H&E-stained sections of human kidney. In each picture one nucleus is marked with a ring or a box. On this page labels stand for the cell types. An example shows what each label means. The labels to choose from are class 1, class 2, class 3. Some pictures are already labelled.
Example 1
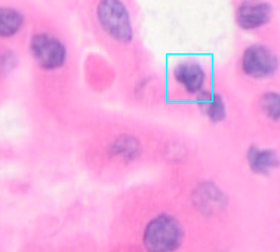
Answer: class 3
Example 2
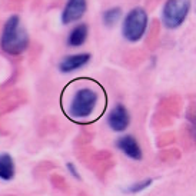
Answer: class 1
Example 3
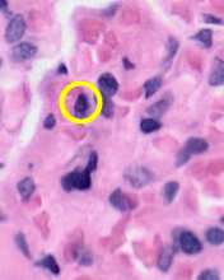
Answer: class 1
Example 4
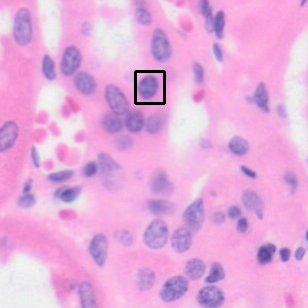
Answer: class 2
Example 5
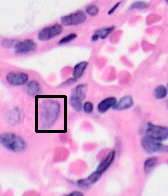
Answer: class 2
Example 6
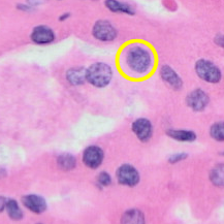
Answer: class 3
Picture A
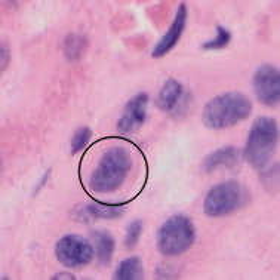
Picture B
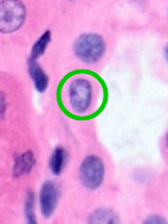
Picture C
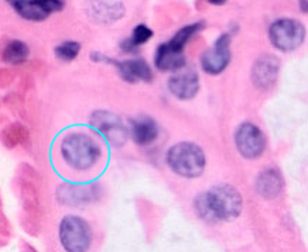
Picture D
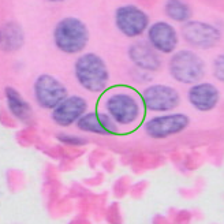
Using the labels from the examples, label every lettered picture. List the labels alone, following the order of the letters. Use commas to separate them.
class 2, class 3, class 2, class 2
